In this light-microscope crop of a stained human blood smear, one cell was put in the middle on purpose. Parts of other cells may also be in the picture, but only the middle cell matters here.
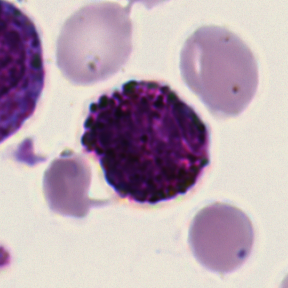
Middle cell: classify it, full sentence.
The crop's centre is taken up by a basophil.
